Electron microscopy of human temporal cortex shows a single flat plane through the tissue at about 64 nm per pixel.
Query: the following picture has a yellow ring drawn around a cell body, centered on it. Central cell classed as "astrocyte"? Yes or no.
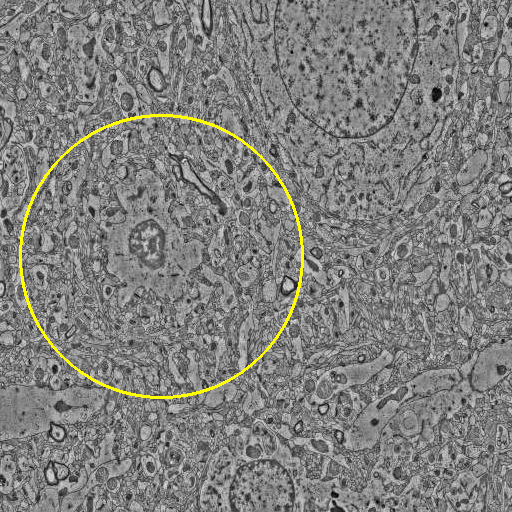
yes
